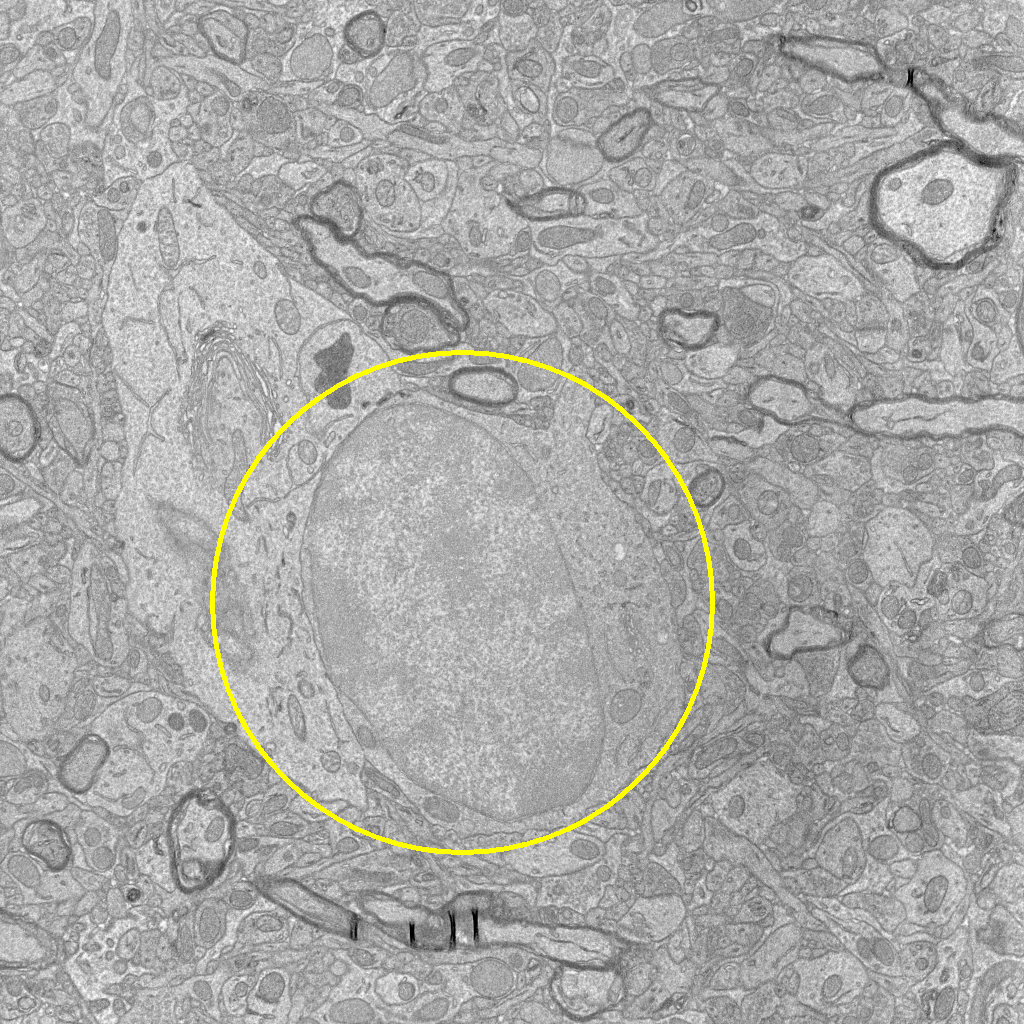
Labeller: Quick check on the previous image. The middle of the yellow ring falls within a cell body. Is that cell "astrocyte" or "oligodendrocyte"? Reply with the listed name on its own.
oligodendrocyte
